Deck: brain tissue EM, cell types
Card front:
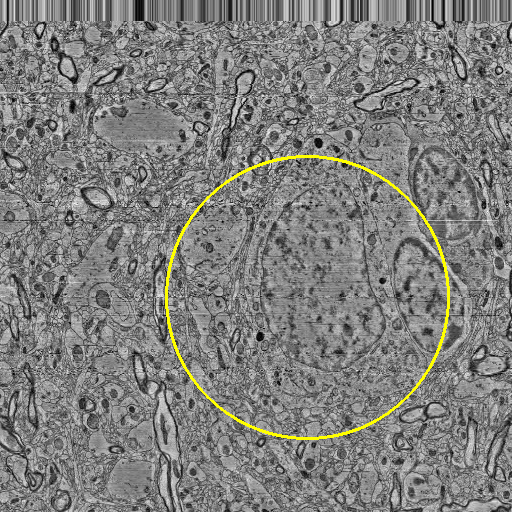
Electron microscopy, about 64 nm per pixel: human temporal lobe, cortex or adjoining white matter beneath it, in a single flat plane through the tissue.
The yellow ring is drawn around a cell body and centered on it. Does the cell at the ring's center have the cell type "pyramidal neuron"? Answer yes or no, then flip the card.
no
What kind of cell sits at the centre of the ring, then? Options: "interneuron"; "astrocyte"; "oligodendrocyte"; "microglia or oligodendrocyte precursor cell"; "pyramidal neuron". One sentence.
As it turns out, the cell at the ring centre is an interneuron.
